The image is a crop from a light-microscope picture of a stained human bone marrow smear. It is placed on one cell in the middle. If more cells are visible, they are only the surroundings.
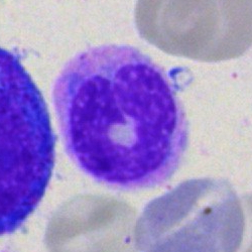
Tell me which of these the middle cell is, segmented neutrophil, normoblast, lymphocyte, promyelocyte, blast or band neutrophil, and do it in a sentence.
The cell found in the middle of this crop is a band neutrophil.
